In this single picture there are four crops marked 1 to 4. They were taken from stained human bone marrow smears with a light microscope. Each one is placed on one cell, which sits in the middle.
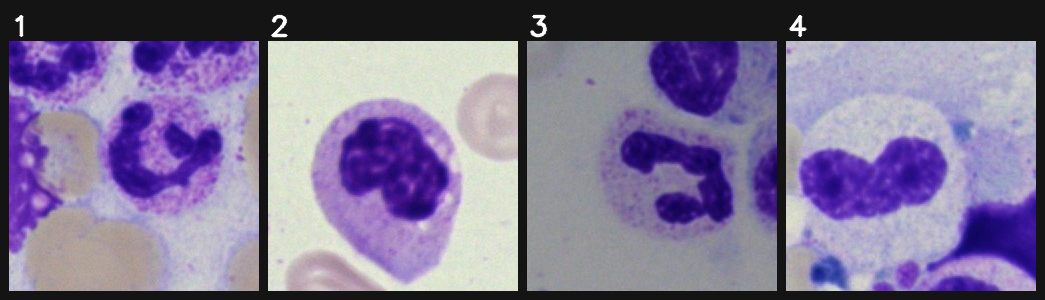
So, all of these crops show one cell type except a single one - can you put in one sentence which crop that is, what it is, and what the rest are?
Crop 4 is not like the others: it is a band neutrophil, and they are segmented neutrophils.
